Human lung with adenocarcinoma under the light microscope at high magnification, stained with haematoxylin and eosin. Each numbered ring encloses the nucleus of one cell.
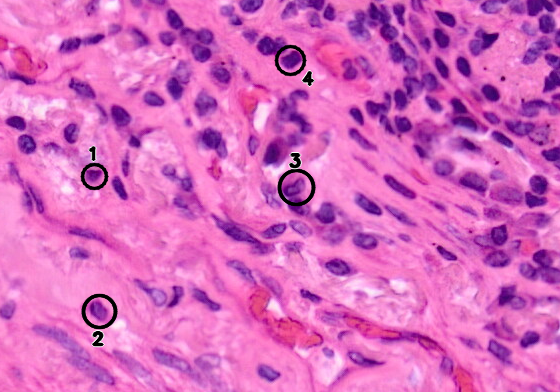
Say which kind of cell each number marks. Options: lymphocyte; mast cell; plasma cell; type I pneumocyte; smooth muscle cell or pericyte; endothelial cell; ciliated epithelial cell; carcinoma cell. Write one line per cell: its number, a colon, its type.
1: plasma cell
2: mast cell
3: plasma cell
4: lymphocyte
